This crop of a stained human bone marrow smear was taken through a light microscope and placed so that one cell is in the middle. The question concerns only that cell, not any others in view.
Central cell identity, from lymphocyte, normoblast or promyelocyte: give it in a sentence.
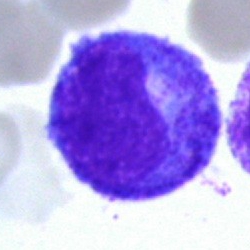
This crop's central cell is a promyelocyte.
